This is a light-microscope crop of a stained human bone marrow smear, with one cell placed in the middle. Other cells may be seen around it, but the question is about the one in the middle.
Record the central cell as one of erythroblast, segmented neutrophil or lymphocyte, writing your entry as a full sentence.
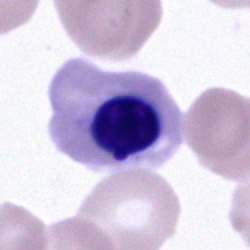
The cell that lies at the centre of the crop is an erythroblast.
